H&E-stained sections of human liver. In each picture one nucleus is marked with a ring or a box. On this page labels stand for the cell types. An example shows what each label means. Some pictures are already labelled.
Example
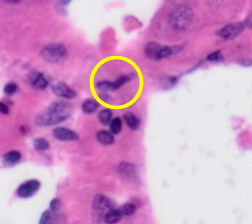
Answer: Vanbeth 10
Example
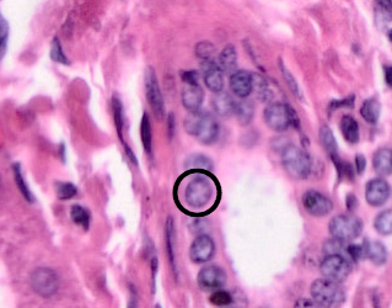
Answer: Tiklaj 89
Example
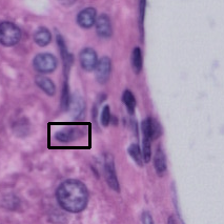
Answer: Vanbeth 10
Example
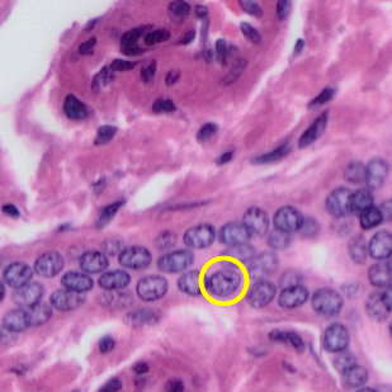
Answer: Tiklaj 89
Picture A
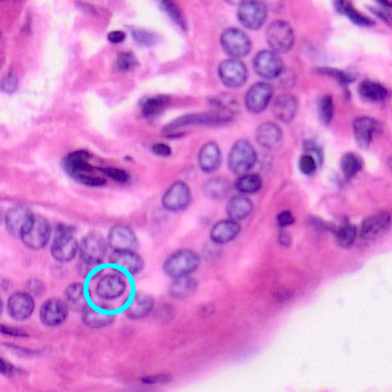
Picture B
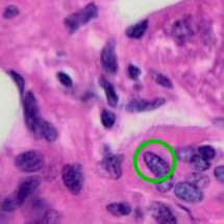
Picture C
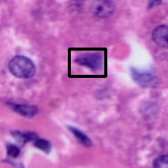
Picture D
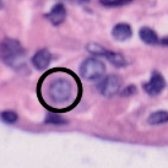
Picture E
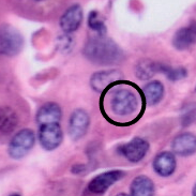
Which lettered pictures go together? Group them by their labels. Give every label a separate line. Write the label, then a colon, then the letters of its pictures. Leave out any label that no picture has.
Vanbeth 10: C
Tiklaj 89: A, B, D, E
